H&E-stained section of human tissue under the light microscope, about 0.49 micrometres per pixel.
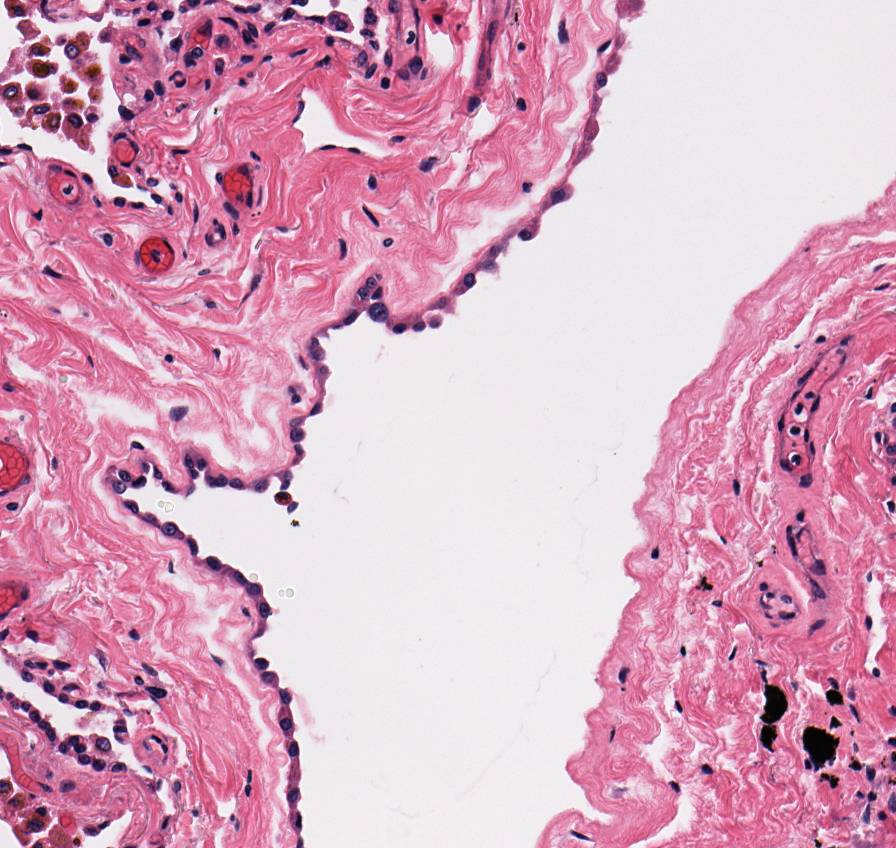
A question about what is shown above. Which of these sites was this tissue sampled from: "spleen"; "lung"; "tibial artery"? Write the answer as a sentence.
The site this tissue was sampled from is the lung.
